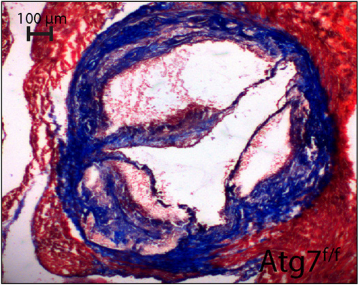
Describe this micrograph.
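The collagen lies in wavy, layered bands that thicken into lesions bulging toward the lumen and along the leaflets. Outside the fibrous ring, the surrounding muscle stains deep red. Small amounts of red material lie free within the lumen.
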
